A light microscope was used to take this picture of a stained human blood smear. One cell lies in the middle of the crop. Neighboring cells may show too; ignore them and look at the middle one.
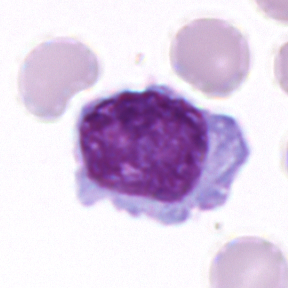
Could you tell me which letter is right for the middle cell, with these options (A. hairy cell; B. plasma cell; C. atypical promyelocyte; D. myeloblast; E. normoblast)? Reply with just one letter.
B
